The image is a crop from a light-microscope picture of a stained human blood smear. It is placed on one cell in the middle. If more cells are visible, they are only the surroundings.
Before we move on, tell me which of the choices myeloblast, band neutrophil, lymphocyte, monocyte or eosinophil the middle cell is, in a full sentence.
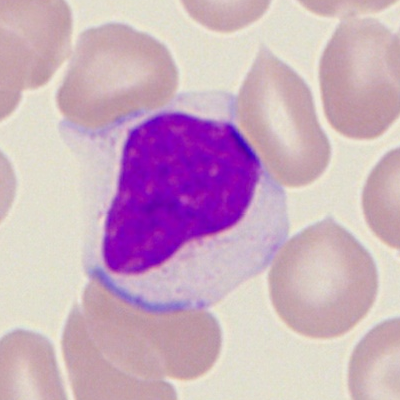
In the centre of this crop there is a lymphocyte.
